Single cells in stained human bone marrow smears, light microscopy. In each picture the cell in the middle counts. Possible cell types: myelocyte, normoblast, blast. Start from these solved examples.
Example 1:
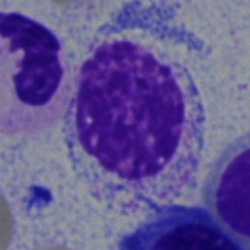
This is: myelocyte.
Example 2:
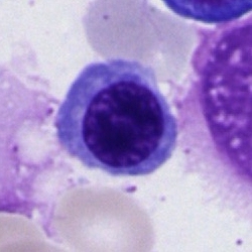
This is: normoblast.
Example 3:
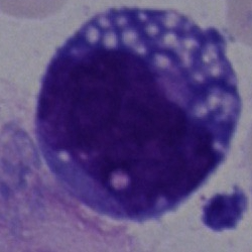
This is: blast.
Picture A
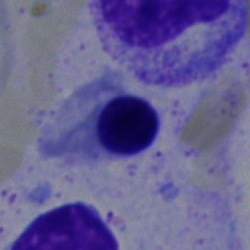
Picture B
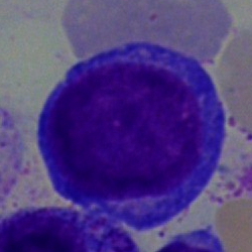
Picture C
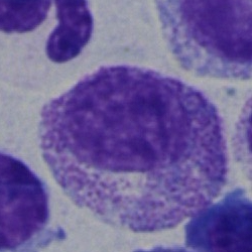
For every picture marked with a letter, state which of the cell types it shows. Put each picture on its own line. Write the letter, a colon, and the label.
A: normoblast.
B: blast.
C: myelocyte.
